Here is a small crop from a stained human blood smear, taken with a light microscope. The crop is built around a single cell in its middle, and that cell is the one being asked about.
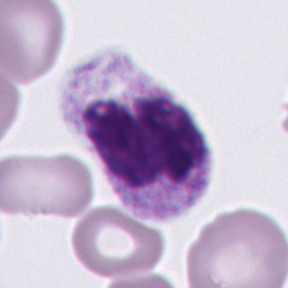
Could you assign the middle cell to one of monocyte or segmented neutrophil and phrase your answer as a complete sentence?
What sits at the centre of this crop is a segmented neutrophil.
